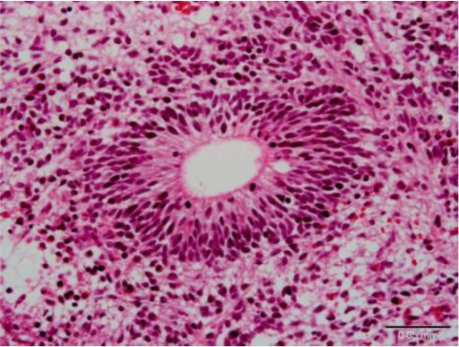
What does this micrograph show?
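At the centre, tall columnar cells with elongated dark purple nuclei are arranged radially around a small round clear lumen, forming a rosette-like ring. The nuclei are stacked in several layers, giving a pseudostratified appearance, while the inner edge facing the lumen is a pale pink band. Around this ring lies looser tissue with scattered, more irregular nuclei in pink matrix.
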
